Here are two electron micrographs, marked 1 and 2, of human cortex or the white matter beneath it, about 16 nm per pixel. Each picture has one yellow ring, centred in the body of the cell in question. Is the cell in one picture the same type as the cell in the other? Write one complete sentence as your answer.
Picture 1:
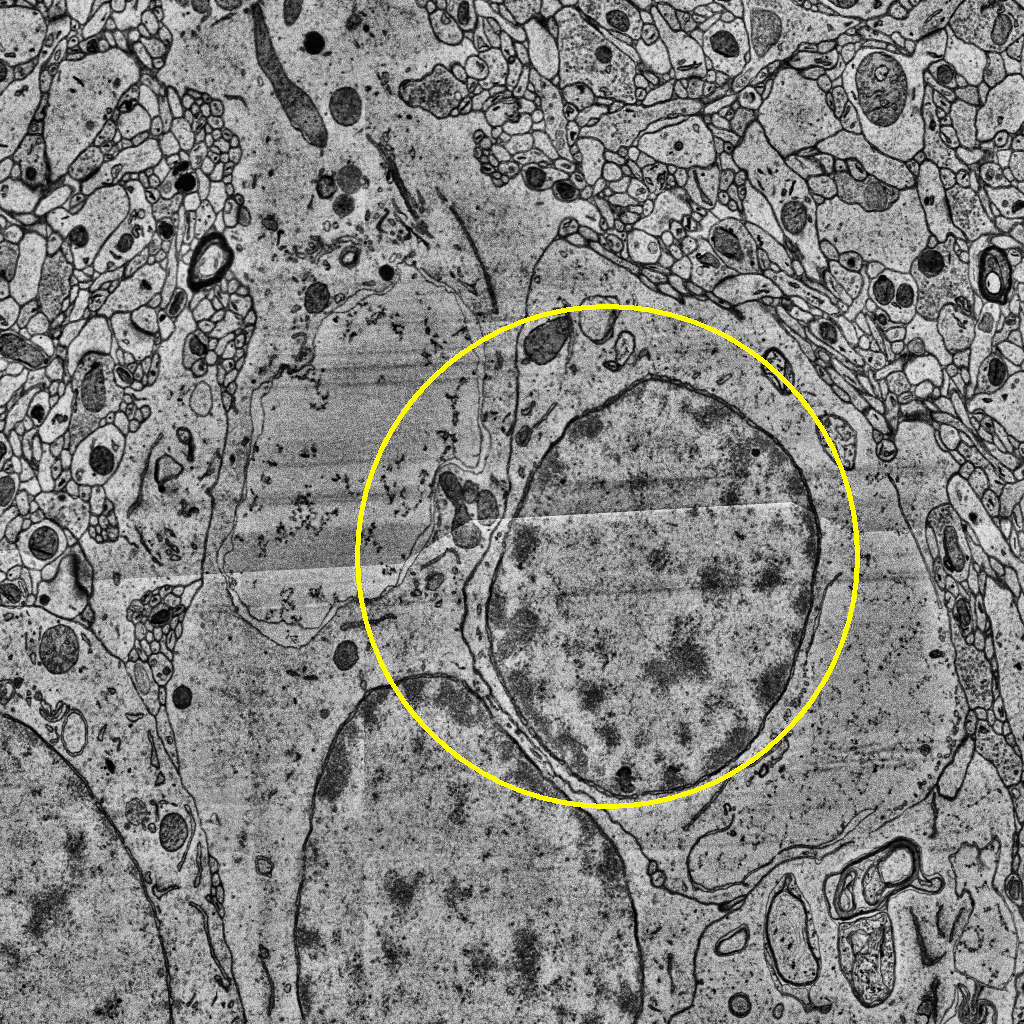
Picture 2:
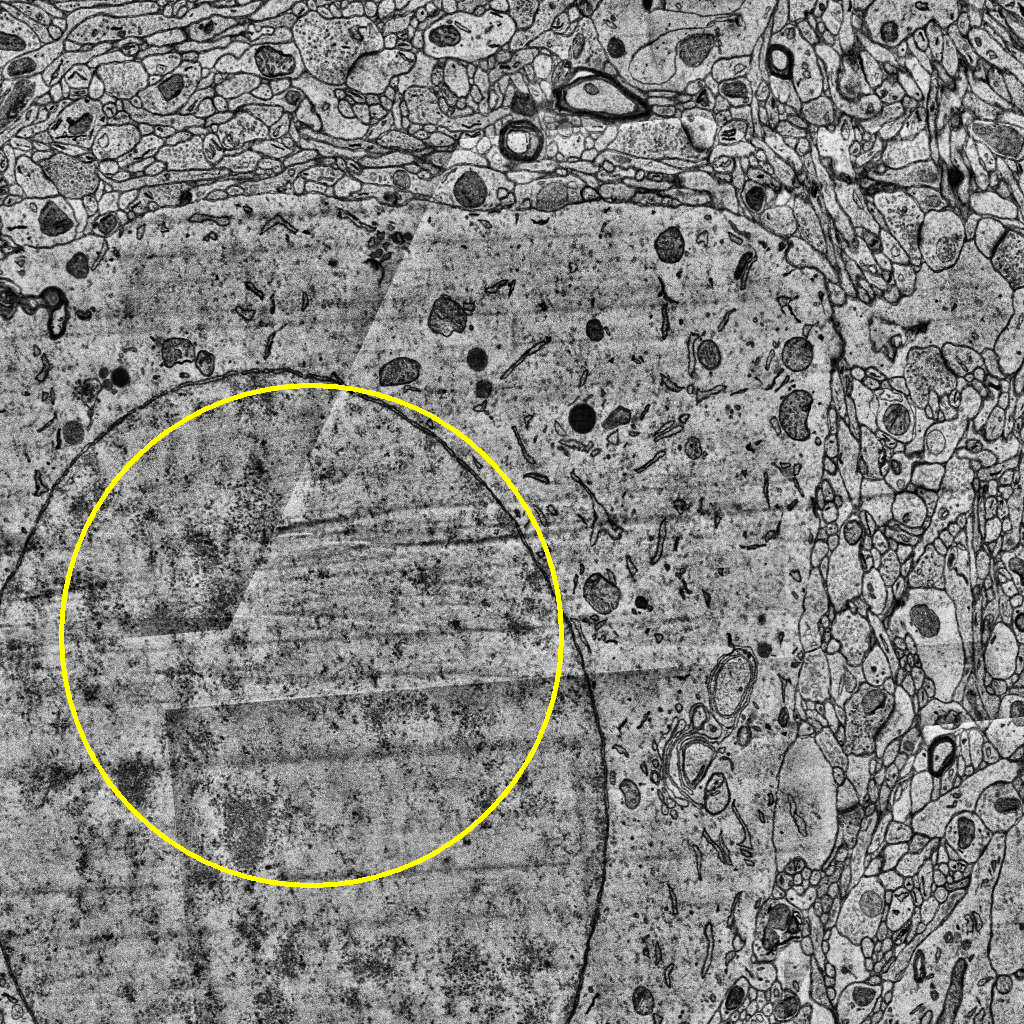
No, they differ: the cell is an astrocyte in picture 1 and a pyramidal neuron in picture 2.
